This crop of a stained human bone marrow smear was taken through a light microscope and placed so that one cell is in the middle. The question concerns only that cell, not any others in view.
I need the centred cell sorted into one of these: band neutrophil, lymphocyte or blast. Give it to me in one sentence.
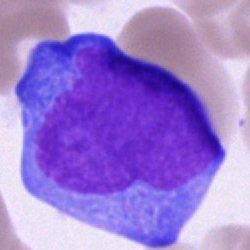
Of the cells in this crop, the central one is a blast.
